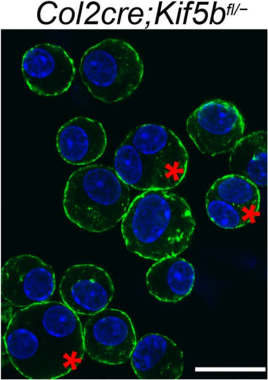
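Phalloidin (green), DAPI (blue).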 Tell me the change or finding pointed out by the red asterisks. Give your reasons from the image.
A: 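Each cell marked by a red asterisk holds two blue nuclei. The two nuclei lie within a single green cell outline. So: binucleated cells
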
